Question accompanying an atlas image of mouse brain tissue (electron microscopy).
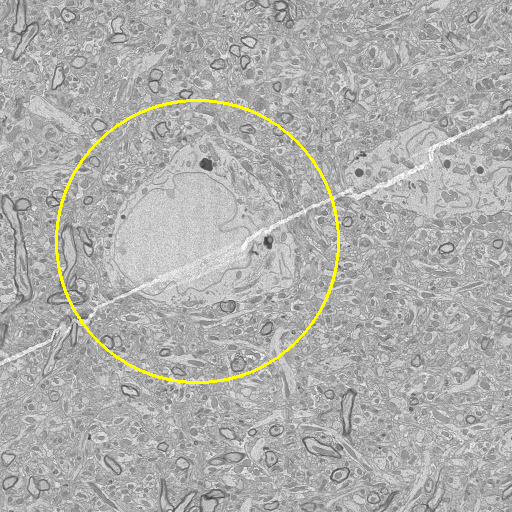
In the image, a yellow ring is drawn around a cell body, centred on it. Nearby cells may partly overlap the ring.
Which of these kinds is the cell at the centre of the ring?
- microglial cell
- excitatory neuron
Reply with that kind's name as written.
excitatory neuron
